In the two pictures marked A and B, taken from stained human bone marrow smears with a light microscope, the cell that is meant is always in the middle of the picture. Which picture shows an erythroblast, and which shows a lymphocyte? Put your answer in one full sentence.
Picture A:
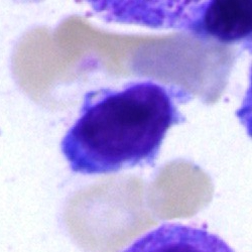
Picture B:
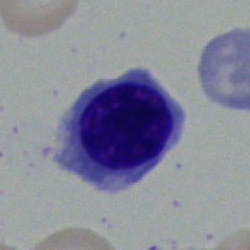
Picture A is of a lymphocyte, and picture B is of an erythroblast.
